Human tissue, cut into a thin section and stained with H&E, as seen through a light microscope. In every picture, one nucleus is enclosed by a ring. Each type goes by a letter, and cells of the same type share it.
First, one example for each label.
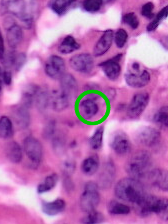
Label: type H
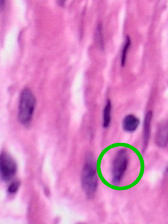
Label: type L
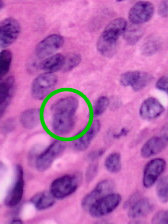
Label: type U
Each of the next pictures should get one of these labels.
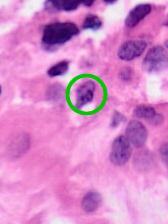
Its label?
type H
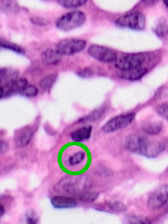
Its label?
type H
